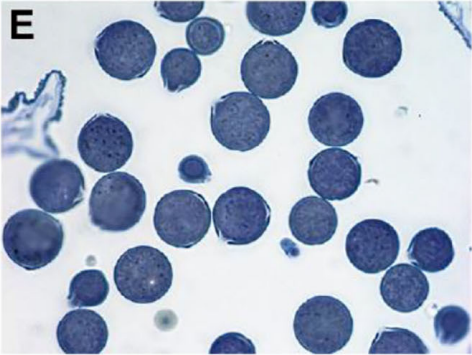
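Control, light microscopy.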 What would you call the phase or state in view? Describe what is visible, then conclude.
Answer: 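Large round pollen grains with evenly dense blue cytoplasm. Grains lack large vacuoles and conspicuous clear granules.
Hence: Anthesis stage pollen.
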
